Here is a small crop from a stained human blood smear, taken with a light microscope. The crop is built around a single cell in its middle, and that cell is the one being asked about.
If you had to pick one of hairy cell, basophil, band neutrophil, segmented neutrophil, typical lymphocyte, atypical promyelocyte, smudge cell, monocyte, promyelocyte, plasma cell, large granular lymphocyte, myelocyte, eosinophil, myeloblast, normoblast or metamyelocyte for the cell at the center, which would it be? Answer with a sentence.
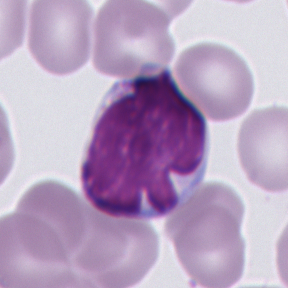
As for the cell in the middle, it is a large granular lymphocyte.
